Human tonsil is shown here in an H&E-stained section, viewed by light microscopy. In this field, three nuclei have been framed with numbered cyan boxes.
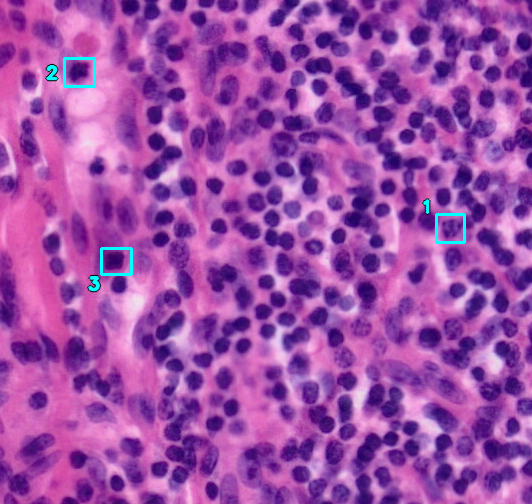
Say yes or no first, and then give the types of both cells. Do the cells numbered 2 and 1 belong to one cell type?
No, the proper labels are an endothelial cell for cell 2 and a plasma cell for cell 1.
